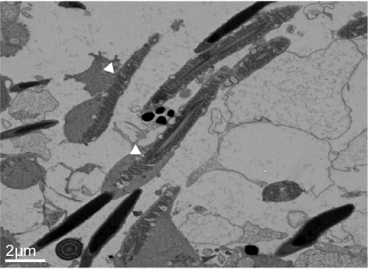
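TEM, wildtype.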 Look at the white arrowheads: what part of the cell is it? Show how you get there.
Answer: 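The arrowheads point to a striated sheath along elongated tail segments. Small repeated dense bodies line the segment like a helical wrap.
Answer: mitochondria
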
